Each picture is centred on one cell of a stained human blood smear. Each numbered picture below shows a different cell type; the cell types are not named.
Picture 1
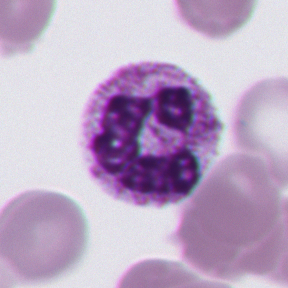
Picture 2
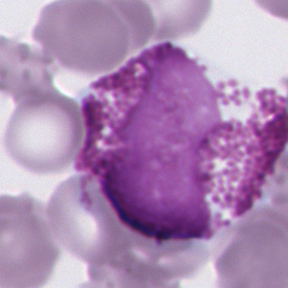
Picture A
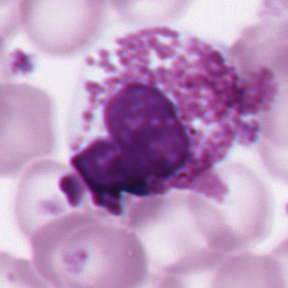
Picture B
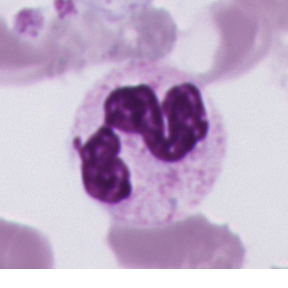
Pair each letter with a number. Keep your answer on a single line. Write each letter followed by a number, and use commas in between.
A 2, B 1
